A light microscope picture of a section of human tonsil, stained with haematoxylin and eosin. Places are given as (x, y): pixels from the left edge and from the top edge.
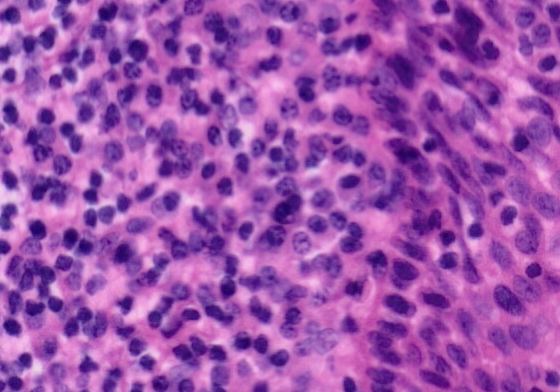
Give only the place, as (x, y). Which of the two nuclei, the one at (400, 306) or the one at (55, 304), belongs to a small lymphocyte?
(55, 304)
